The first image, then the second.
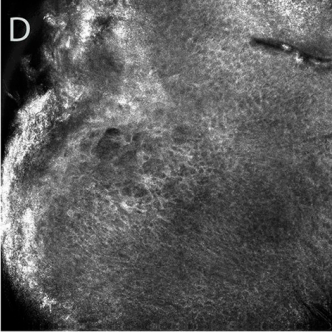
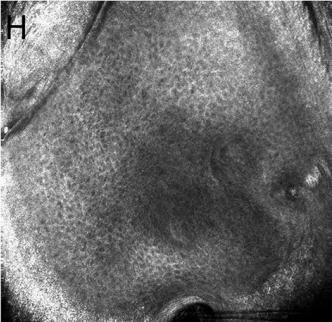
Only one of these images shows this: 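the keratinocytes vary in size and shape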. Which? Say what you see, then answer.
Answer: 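The first image. Second image: a fine, even honeycomb of small, similar polygonal cells. First image: the honeycomb is irregular, with cells of unequal size and shape.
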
